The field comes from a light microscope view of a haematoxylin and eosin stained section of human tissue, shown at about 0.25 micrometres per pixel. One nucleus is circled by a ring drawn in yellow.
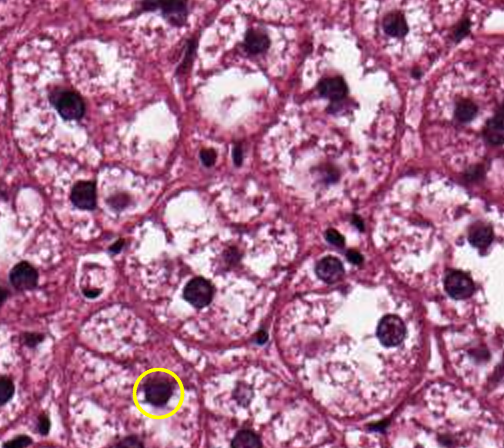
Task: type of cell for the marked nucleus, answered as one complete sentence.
The cell that the marked nucleus belongs to is an adrenal cortical cell.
